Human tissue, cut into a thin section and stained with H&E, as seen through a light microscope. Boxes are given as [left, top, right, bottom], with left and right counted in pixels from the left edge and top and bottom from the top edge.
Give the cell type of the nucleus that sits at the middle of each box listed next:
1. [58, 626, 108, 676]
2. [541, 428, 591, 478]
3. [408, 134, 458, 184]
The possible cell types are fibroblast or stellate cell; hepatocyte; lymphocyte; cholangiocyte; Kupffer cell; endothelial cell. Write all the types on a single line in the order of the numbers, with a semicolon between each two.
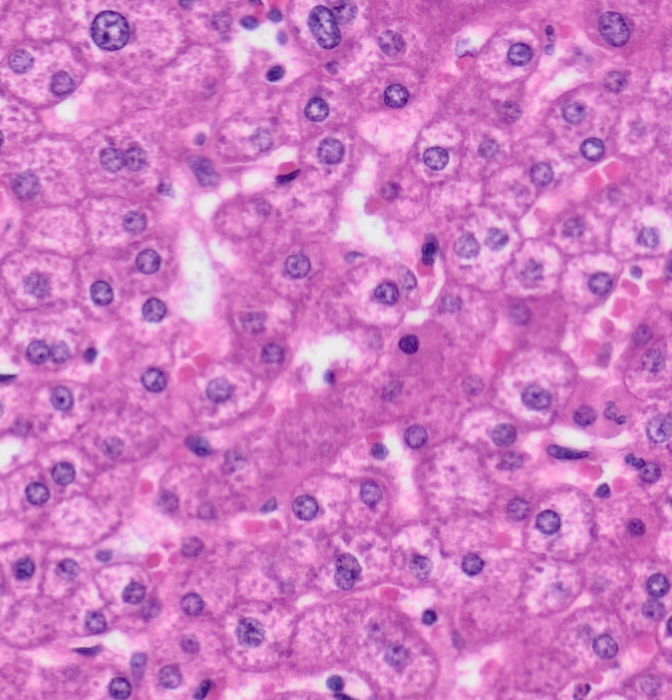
endothelial cell; Kupffer cell; hepatocyte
